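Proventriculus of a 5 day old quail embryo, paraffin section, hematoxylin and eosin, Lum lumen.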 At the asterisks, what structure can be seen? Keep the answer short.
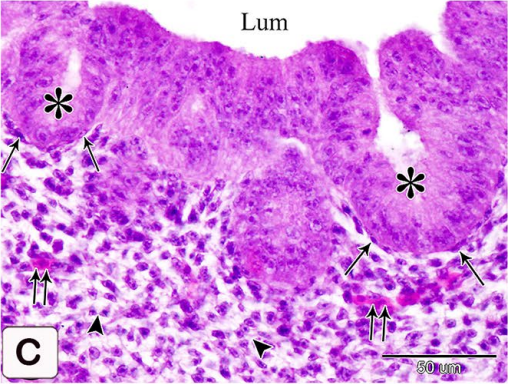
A: Gland rudiments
